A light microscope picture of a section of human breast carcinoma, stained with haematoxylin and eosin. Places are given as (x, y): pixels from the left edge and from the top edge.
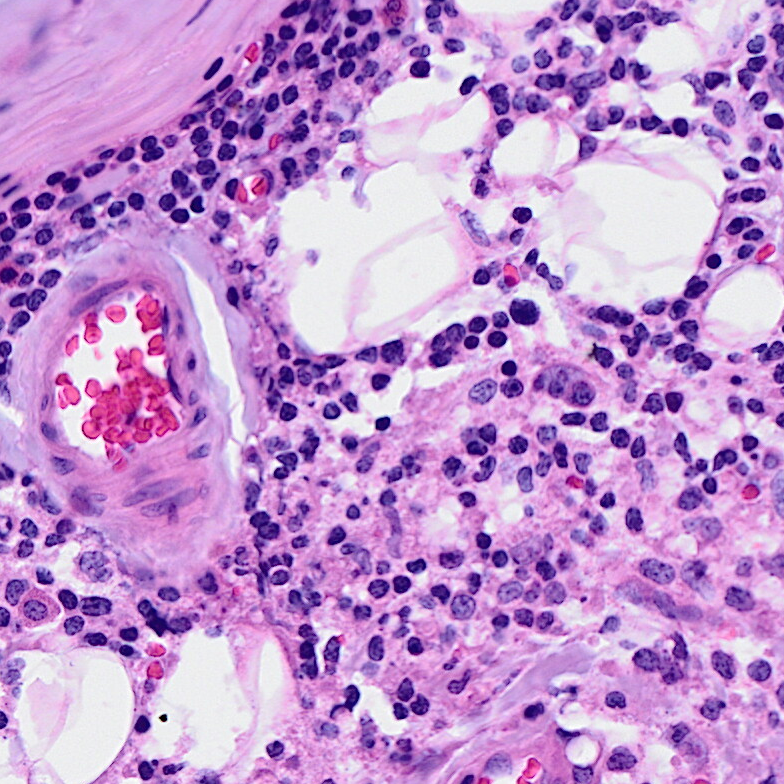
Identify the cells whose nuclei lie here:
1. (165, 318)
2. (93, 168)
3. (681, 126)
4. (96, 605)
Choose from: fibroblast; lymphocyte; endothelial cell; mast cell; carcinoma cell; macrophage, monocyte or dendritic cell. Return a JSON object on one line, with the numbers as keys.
{"1": "endothelial cell", "2": "lymphocyte", "3": "lymphocyte", "4": "lymphocyte"}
